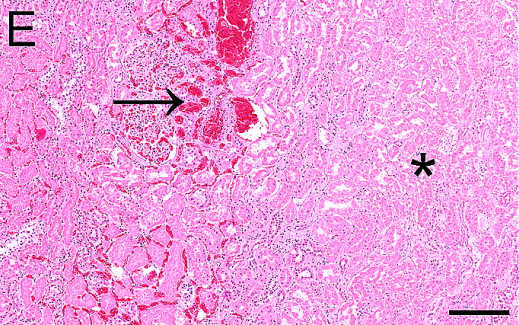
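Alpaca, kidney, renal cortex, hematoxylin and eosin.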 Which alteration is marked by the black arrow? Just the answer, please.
reactive hyperemia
